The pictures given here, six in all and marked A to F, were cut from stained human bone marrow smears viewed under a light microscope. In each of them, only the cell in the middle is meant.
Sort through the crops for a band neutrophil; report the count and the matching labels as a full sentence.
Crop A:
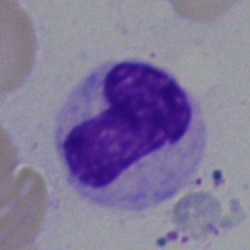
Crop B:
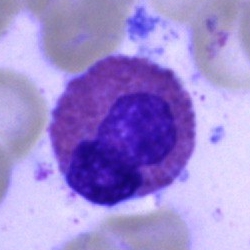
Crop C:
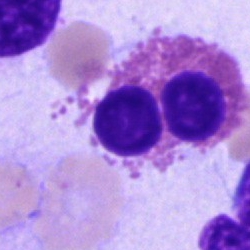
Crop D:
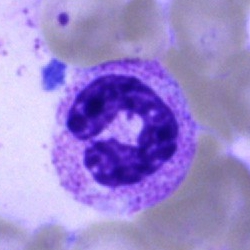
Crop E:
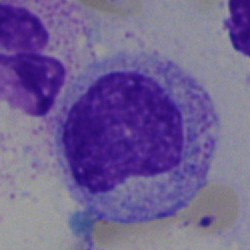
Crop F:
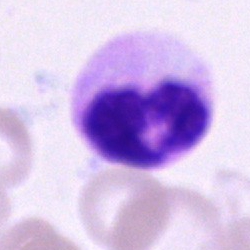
The count is zero, as not one of the crops contains band neutrophils.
